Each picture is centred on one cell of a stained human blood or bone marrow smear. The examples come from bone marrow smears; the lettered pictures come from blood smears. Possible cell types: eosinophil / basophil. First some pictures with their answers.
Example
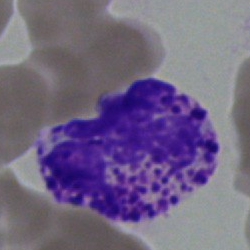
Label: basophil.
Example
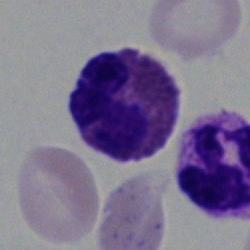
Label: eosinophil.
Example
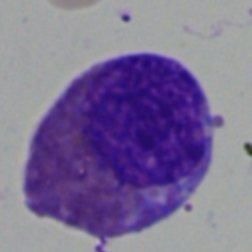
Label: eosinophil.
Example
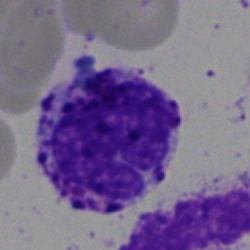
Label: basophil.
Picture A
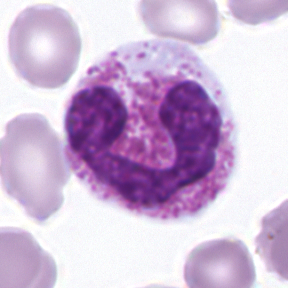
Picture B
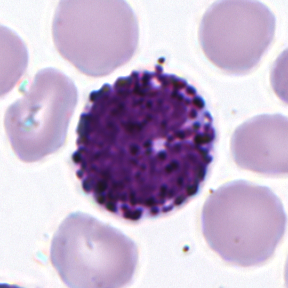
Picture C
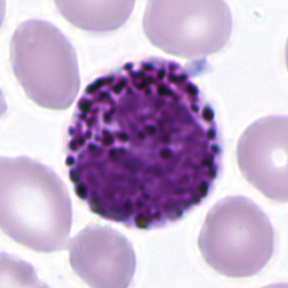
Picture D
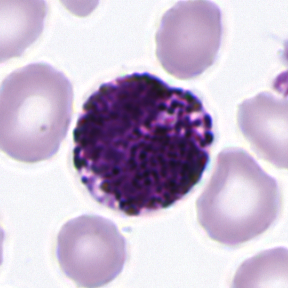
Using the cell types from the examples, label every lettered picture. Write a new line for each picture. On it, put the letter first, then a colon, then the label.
A: eosinophil.
B: basophil.
C: basophil.
D: basophil.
